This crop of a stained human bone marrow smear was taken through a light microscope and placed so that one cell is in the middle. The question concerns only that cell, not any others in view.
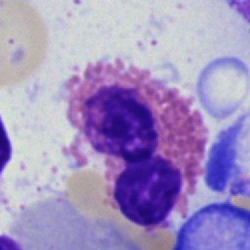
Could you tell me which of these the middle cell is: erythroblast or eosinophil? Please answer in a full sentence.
Classification of the middle cell gives an eosinophil.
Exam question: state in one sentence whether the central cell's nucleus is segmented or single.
Multiple nuclear lobes, two or more, can be counted in this cell.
